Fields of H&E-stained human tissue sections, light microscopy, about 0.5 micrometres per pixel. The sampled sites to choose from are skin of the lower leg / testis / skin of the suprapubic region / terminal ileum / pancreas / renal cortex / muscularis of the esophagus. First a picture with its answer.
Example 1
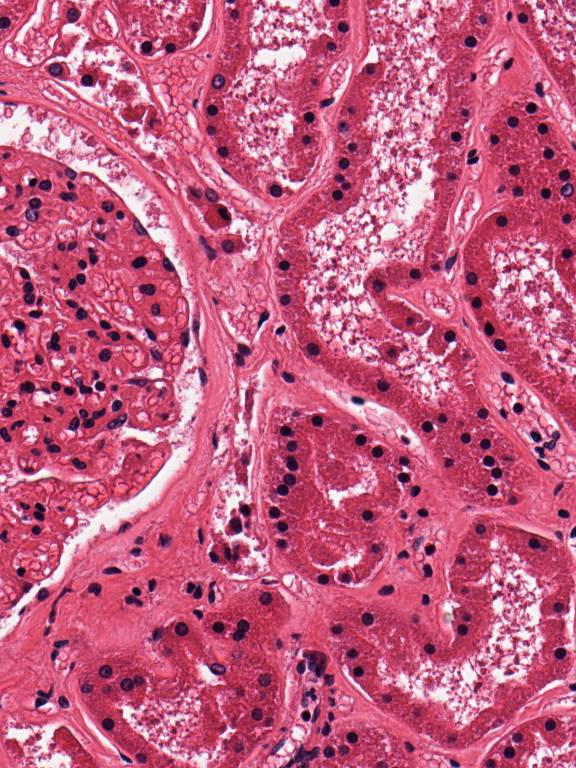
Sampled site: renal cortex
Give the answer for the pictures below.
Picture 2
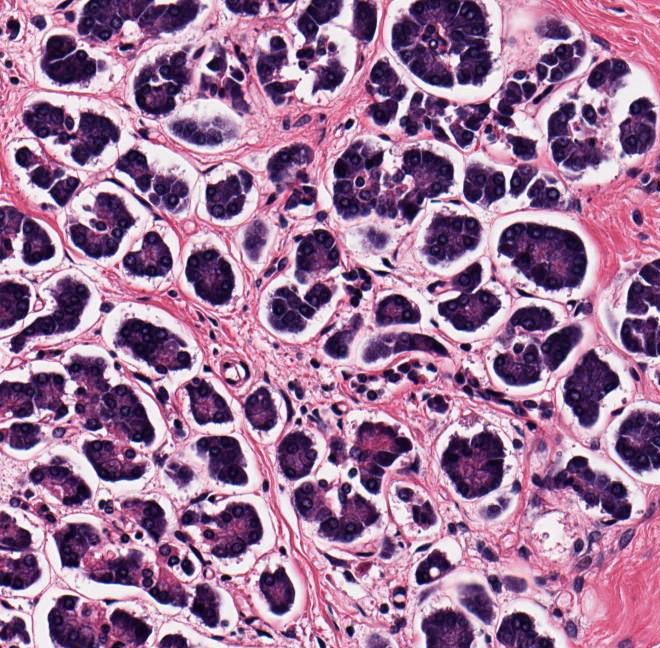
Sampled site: pancreas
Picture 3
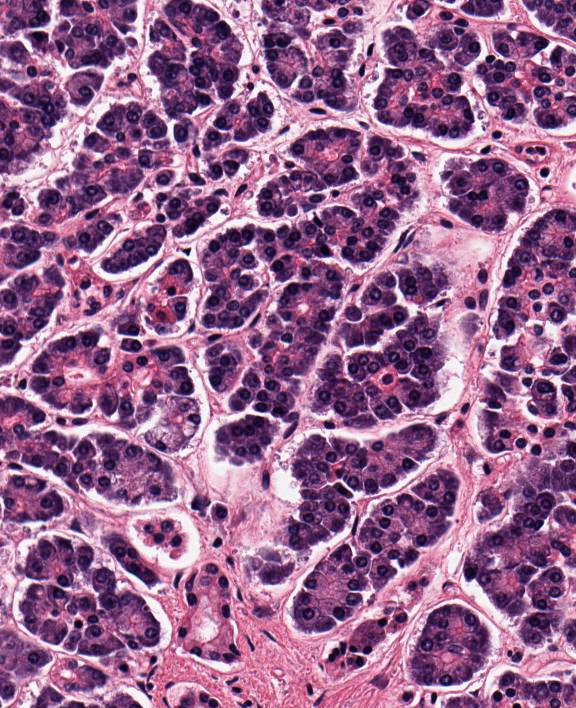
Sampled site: pancreas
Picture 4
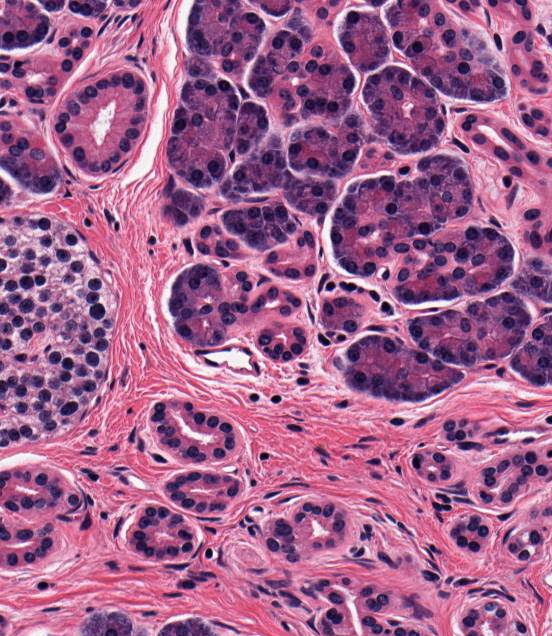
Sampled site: pancreas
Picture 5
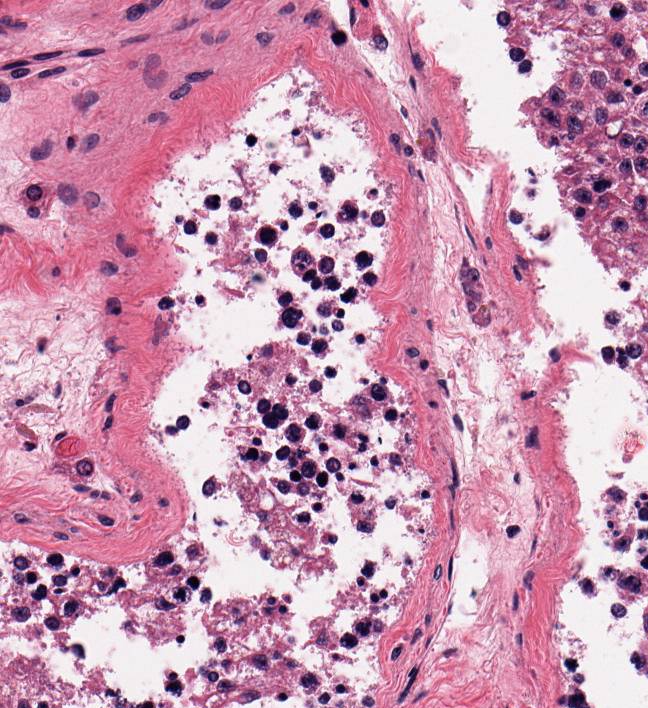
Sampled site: testis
